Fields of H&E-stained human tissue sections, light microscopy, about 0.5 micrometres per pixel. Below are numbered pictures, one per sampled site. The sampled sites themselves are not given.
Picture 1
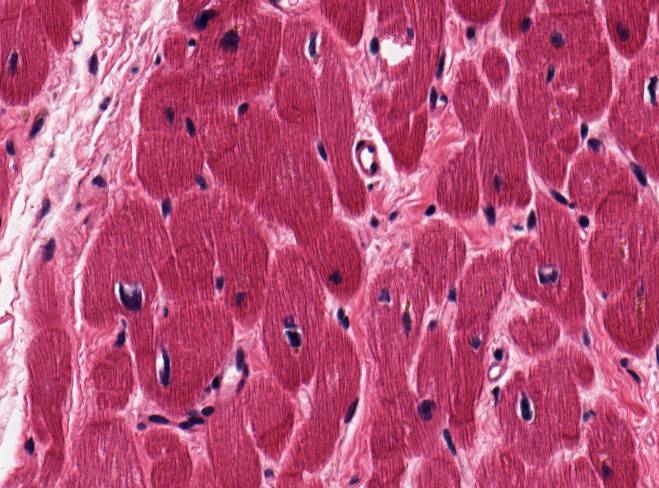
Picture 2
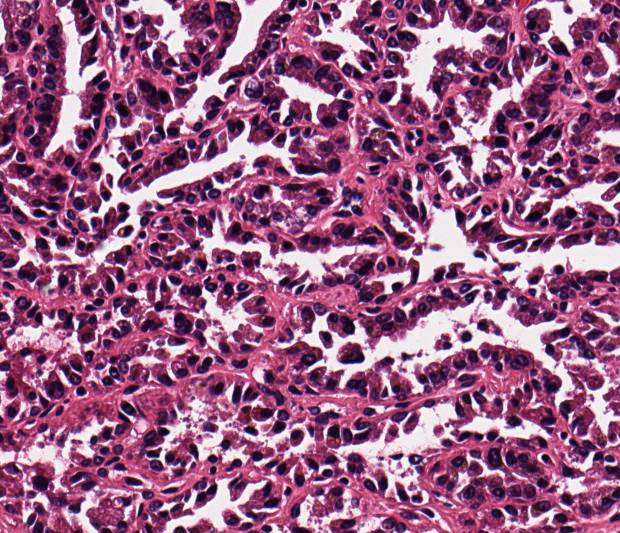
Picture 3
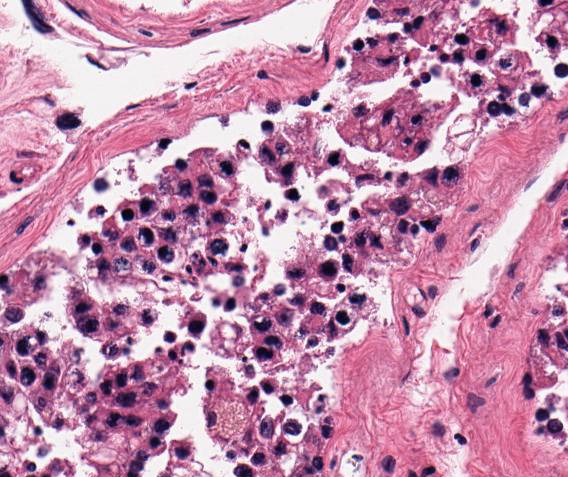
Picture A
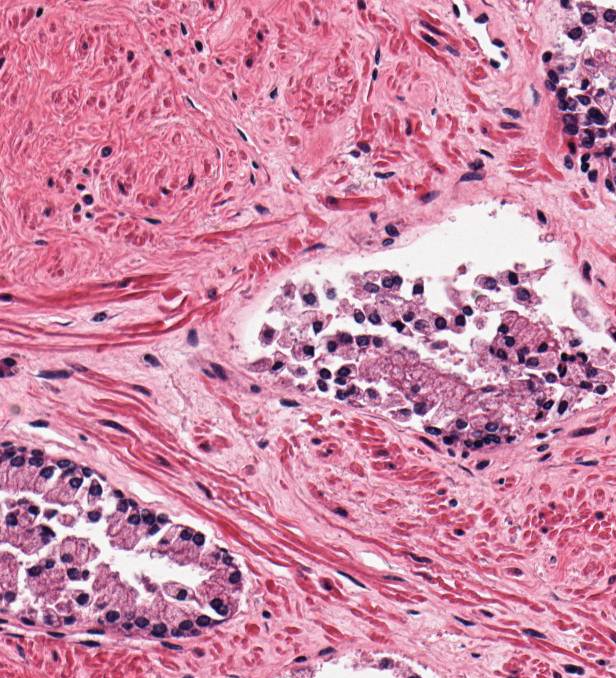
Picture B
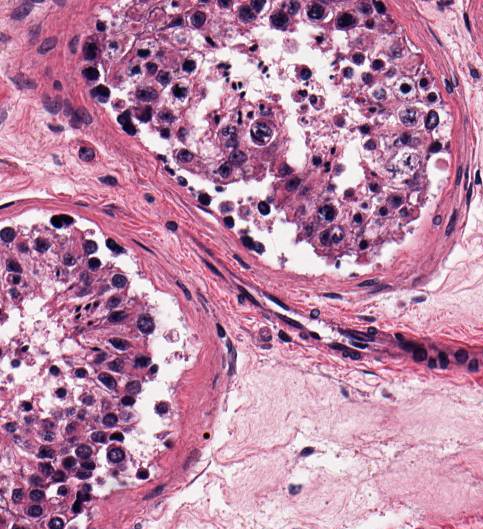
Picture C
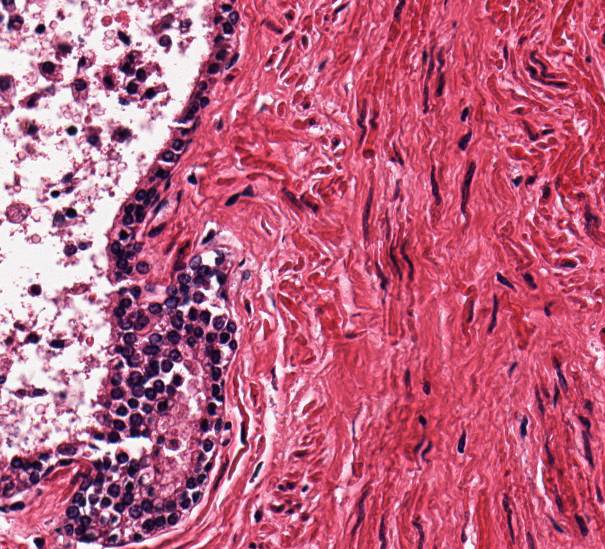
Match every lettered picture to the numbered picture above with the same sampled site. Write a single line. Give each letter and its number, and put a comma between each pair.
A 2, B 3, C 2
